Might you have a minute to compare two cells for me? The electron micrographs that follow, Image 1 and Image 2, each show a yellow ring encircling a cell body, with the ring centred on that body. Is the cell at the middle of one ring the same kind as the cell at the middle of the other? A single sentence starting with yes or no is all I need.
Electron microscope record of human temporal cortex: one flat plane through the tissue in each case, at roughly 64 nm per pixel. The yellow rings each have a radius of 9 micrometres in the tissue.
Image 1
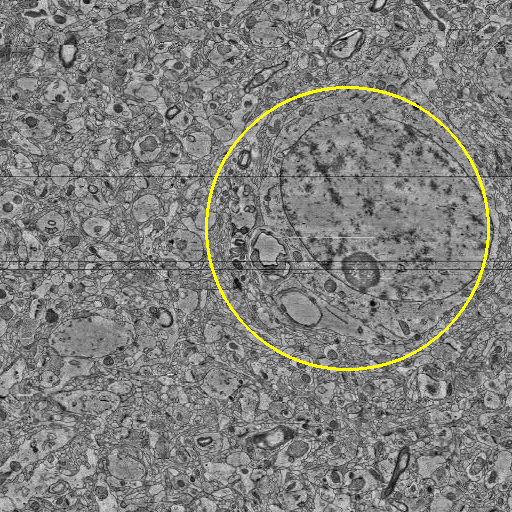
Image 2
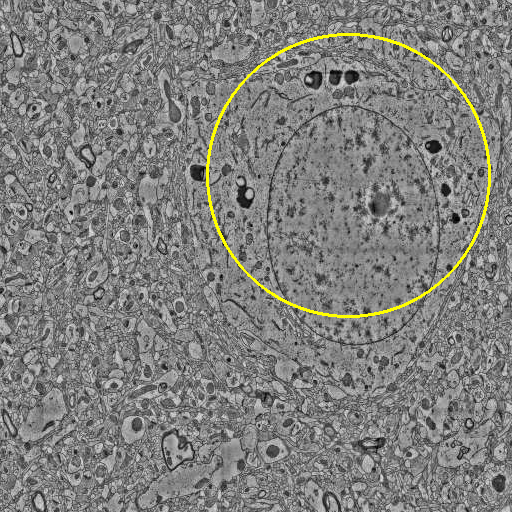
Yes, the cells in the middle of the two rings are of one shared kind.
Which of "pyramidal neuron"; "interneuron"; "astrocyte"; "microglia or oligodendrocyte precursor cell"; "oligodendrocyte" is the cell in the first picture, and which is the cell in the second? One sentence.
In both pictures the ring is centred on a pyramidal neuron.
